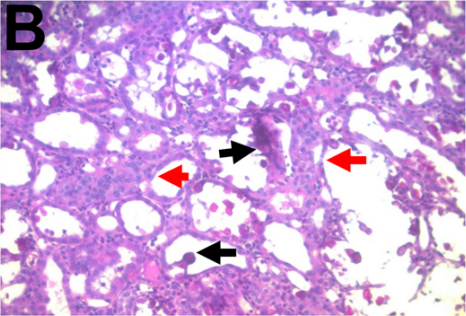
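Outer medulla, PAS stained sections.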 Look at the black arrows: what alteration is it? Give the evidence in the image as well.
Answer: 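Dark purple clumps lie free inside open tubule lumens. The clumps are not attached to a continuous epithelial lining.
Cellular debris in the lumen.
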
